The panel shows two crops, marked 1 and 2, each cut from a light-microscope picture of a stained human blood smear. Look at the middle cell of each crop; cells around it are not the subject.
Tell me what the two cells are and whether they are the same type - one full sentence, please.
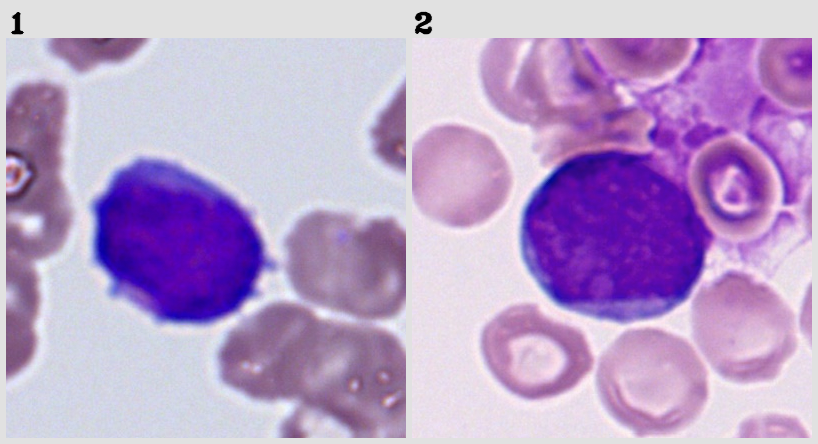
Yes, both of the crops show myeloblasts.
